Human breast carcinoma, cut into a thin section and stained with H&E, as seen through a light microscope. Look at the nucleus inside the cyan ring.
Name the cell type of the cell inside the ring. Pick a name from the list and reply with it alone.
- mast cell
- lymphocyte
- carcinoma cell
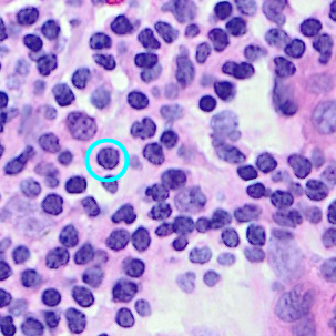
lymphocyte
